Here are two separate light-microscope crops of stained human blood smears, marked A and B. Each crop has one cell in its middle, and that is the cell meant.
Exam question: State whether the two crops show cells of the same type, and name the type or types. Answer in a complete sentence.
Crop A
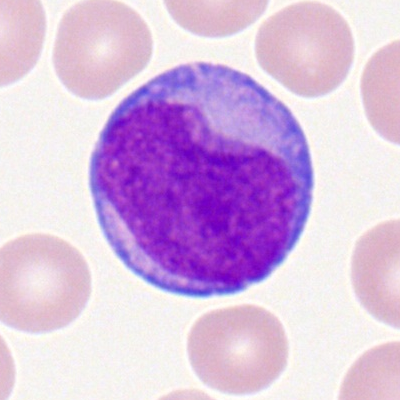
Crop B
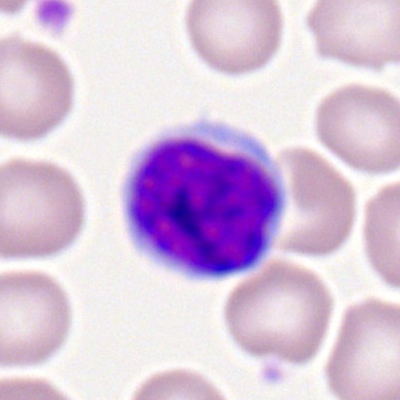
No, crop A is of a blast, and crop B is of a lymphocyte.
